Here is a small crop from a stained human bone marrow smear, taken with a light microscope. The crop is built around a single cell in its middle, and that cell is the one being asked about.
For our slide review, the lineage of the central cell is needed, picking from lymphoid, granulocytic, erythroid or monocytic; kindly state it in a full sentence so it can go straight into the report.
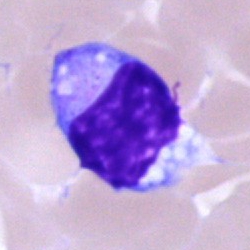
Designated lymphoid in lineage is the cell at the center of the crop.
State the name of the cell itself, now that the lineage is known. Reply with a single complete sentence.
For this crop, the cell in the middle is a lymphocyte.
